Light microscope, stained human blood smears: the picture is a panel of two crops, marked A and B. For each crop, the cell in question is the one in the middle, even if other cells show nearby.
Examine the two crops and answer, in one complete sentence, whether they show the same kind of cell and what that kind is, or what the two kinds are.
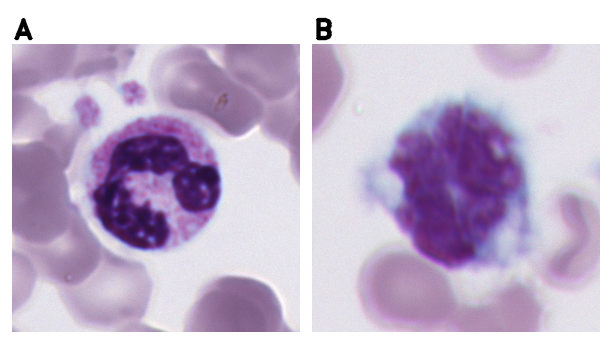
No, a segmented neutrophil is what occupies crop A, and a monocyte is what occupies crop B.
